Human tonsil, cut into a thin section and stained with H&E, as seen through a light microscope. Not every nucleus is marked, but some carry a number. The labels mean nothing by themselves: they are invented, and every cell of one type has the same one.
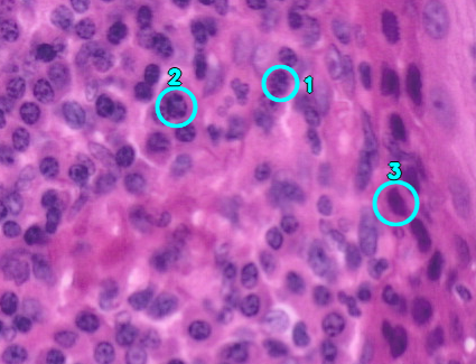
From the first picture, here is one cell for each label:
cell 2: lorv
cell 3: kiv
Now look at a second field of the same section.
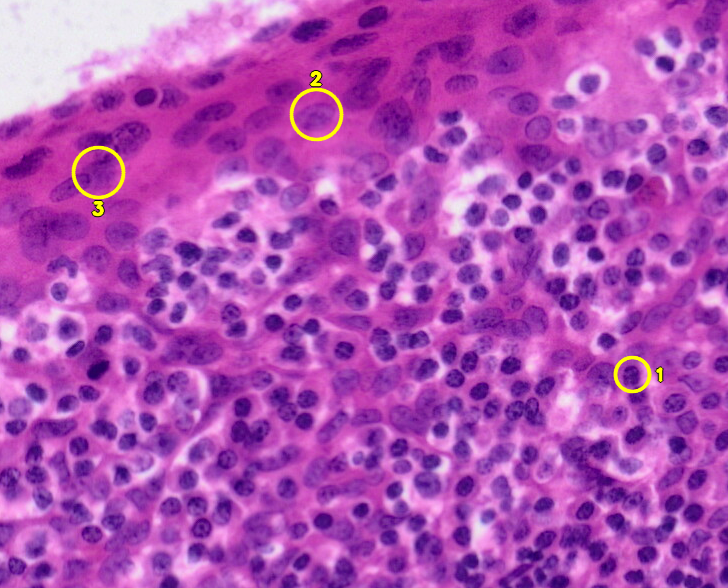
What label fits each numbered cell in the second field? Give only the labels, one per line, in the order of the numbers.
lorv
kiv
kiv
